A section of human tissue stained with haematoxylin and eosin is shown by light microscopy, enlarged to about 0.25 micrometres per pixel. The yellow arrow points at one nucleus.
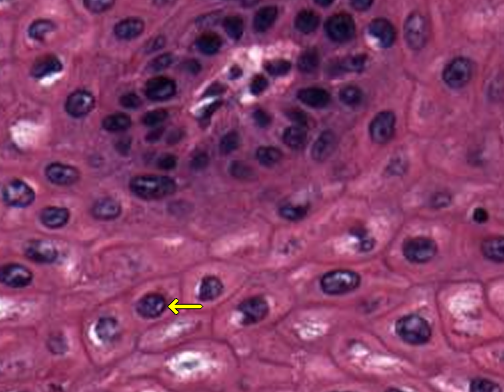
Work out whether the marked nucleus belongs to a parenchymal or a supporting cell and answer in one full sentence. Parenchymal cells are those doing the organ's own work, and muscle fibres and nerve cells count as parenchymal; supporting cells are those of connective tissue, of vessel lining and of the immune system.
The parenchymal cell to which the marked nucleus belongs is a squamous epithelial cell.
